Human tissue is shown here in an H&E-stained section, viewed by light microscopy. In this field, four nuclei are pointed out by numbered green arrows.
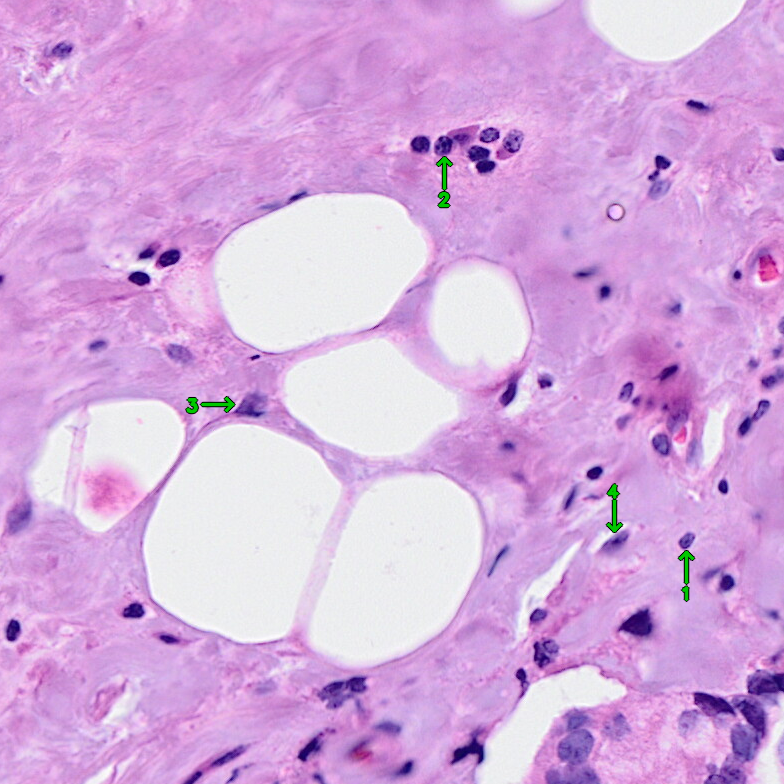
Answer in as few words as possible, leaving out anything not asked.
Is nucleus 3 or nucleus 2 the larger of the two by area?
3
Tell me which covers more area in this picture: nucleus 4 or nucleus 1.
4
